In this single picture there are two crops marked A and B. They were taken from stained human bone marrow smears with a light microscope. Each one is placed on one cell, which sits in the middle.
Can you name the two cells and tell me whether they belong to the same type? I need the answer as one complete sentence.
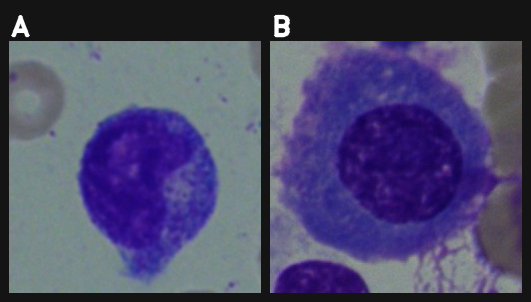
No, within crop A lies a myelocyte, and within crop B lies a plasma cell.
